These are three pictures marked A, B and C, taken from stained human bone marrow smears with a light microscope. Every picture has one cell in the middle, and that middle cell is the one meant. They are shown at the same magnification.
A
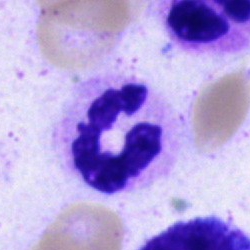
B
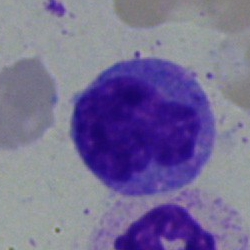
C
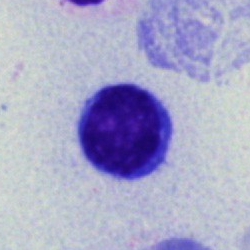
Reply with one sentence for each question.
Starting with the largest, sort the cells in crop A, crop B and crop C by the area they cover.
From the largest down, the order is B, A, C.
